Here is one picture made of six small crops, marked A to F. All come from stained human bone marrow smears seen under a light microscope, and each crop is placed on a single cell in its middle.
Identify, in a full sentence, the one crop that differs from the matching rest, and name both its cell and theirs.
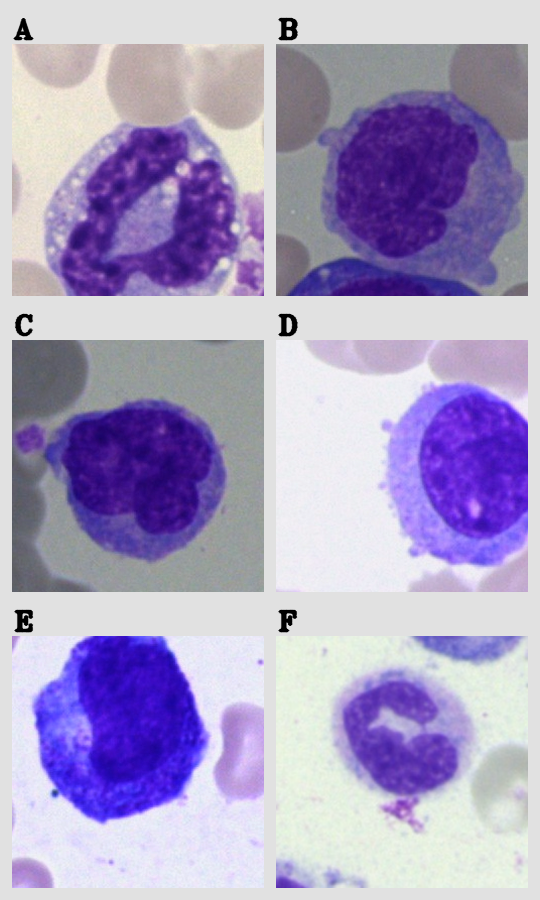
Crop E is the exception here: it is a promyelocyte, and the others are monocytes.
